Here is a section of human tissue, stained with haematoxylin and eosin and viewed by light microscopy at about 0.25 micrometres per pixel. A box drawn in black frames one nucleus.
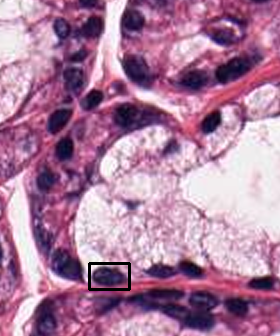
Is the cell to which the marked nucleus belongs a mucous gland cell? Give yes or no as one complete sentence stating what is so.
Yes, the marked nucleus, as shown, belongs to a mucous gland cell.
